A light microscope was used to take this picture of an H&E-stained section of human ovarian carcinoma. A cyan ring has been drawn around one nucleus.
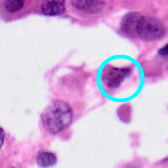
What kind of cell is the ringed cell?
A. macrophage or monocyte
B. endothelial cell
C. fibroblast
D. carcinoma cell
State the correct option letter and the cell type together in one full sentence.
Of all the options, A is right, since the ringed cell is a macrophage or monocyte.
